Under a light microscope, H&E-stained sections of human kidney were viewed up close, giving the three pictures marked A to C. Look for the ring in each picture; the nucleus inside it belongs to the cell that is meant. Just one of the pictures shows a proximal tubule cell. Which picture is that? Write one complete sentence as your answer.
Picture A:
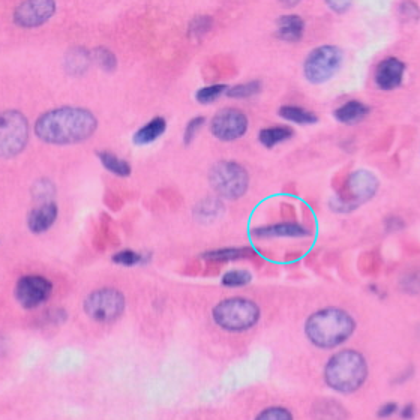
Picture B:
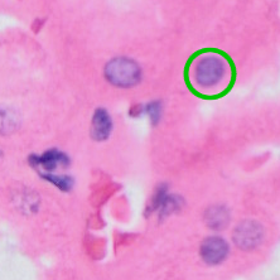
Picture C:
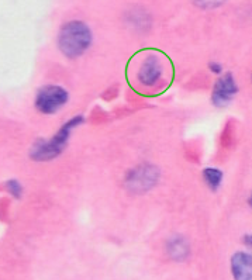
Picture B is the one that shows the proximal tubule cell.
